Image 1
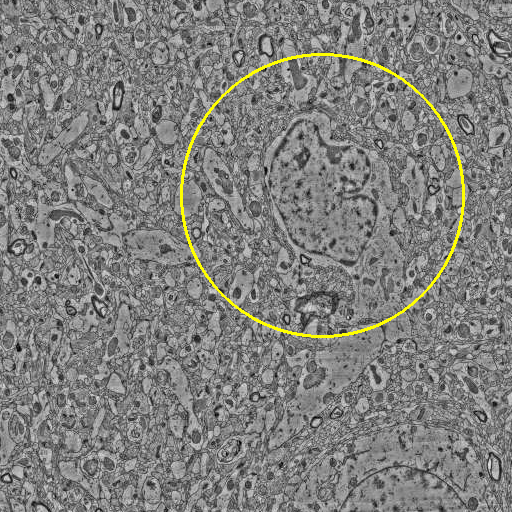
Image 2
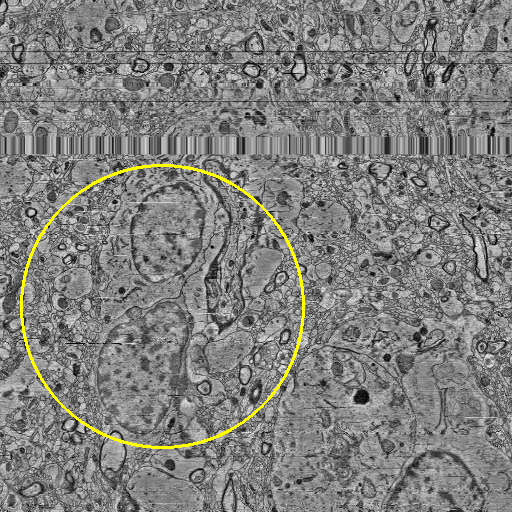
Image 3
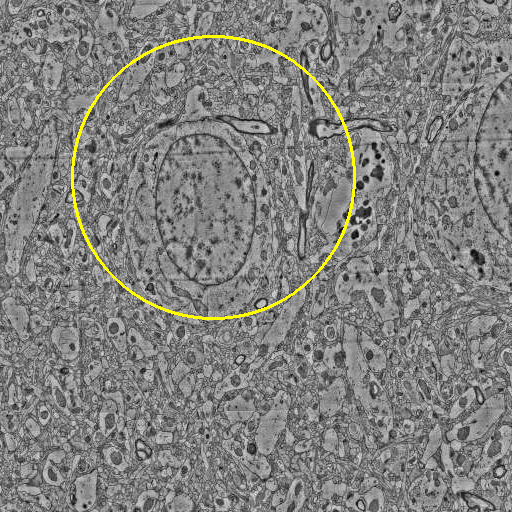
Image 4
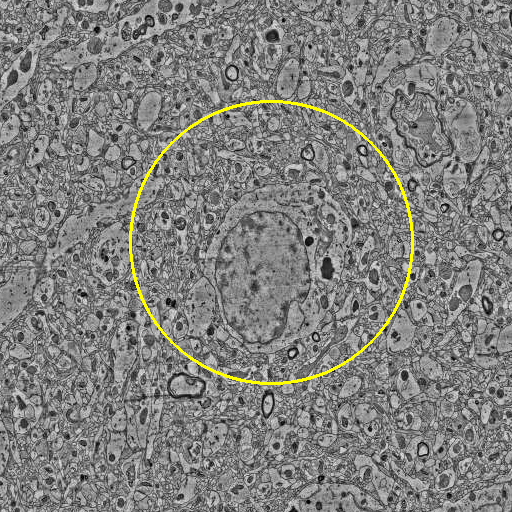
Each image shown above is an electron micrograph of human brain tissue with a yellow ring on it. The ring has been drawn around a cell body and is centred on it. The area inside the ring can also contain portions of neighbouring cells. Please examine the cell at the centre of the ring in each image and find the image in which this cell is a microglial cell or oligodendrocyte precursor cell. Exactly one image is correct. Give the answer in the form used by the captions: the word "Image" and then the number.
Image 1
